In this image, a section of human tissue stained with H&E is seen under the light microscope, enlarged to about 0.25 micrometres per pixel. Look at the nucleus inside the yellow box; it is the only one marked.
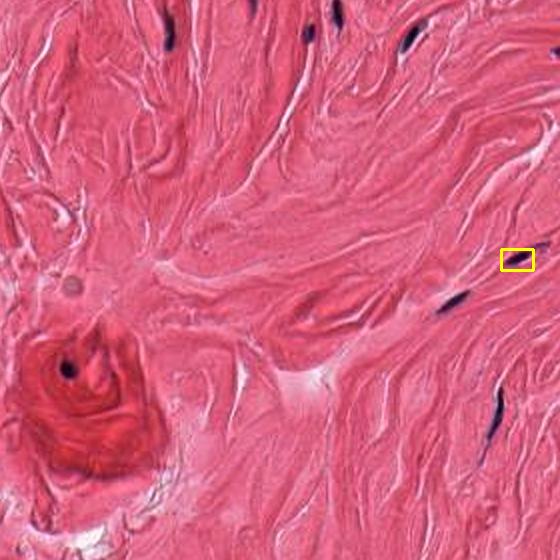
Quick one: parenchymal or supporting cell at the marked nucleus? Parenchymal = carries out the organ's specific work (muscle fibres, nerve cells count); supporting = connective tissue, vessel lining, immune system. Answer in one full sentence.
In this field of view, a supporting cell owns the marked nucleus.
